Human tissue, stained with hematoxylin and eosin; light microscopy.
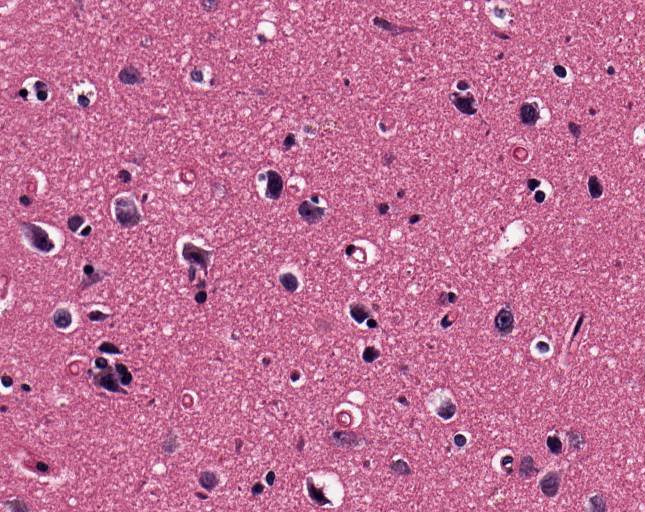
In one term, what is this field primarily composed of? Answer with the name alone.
cerebral cortex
